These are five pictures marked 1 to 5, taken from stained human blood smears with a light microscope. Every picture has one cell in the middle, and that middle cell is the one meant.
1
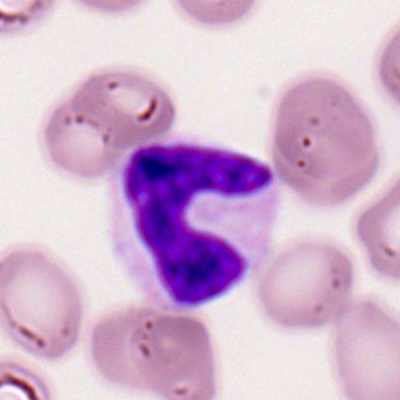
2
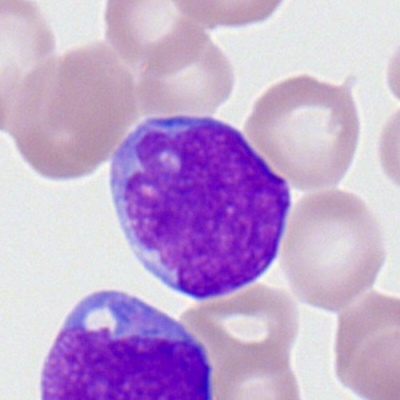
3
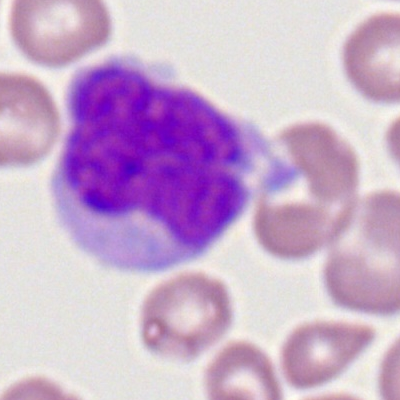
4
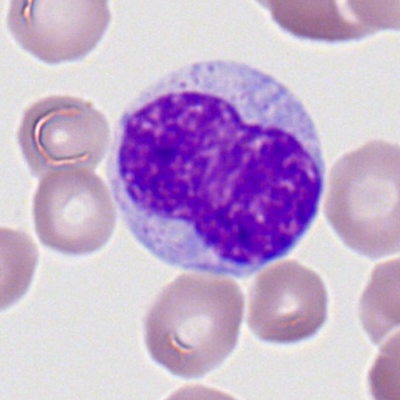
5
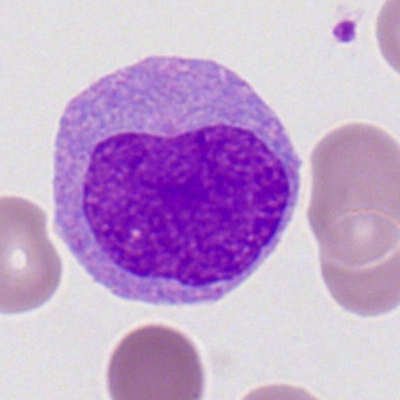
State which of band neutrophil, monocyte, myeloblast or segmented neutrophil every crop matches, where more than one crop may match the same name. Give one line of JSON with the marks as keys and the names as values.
{"1": "band neutrophil", "2": "myeloblast", "3": "monocyte", "4": "monocyte", "5": "myeloblast"}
